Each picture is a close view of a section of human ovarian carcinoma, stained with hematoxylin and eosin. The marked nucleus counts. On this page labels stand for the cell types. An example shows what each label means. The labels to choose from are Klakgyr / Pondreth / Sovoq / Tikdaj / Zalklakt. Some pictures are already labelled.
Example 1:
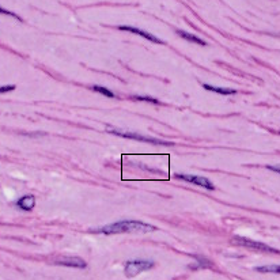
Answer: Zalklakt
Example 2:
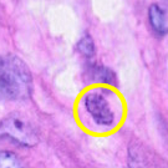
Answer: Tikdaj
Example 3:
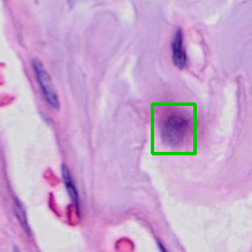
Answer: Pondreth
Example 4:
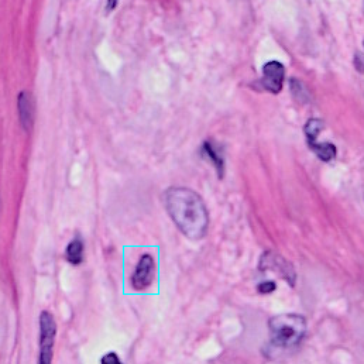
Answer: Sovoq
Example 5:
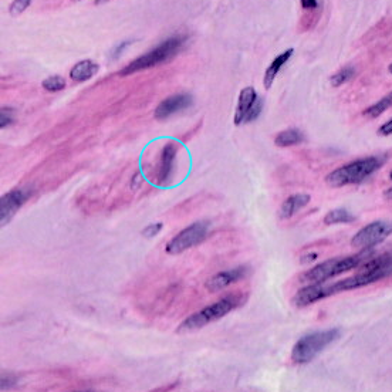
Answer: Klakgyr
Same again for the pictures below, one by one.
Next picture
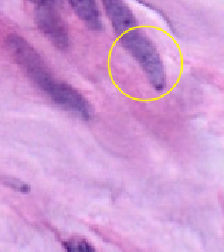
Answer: Klakgyr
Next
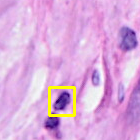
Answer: Sovoq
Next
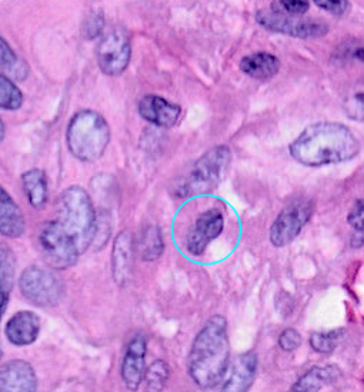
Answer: Tikdaj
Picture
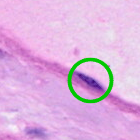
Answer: Pondreth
